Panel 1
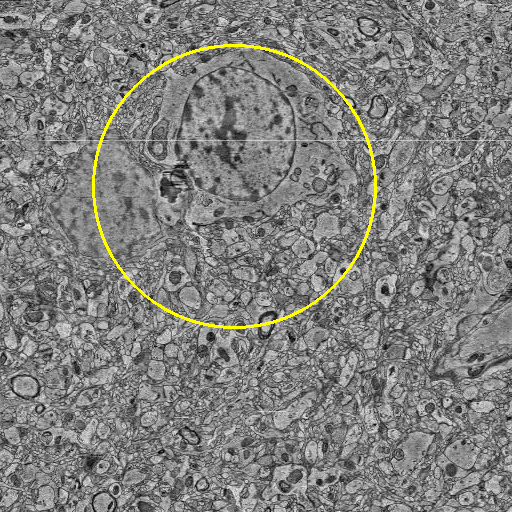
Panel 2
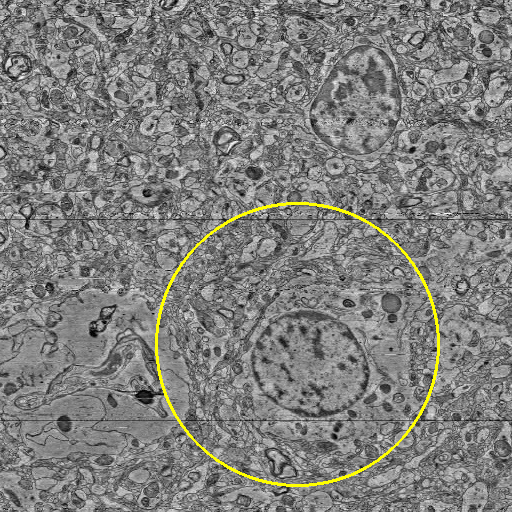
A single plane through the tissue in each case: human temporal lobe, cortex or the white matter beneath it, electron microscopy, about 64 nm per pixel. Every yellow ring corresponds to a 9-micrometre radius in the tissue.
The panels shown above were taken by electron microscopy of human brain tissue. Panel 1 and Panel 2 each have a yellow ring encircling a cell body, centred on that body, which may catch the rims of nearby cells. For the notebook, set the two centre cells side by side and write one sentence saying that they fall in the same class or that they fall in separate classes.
The centred cells of Panel 1 and Panel 2 fall in the same class.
